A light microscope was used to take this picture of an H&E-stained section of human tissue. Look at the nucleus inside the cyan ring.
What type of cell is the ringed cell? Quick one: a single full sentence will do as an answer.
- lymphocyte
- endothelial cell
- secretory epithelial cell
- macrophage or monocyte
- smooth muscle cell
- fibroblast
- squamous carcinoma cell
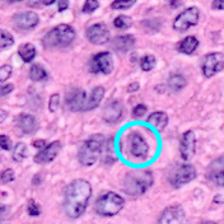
By its classification, the ringed cell is a squamous carcinoma cell.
